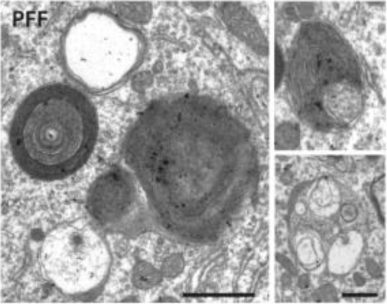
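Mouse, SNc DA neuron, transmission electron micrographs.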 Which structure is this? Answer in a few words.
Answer: Multilamellar bodies.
